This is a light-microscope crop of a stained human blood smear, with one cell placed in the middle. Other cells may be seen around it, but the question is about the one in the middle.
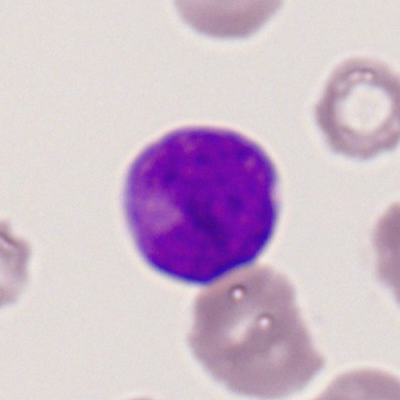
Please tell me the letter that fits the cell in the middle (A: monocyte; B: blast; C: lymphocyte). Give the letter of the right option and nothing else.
B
